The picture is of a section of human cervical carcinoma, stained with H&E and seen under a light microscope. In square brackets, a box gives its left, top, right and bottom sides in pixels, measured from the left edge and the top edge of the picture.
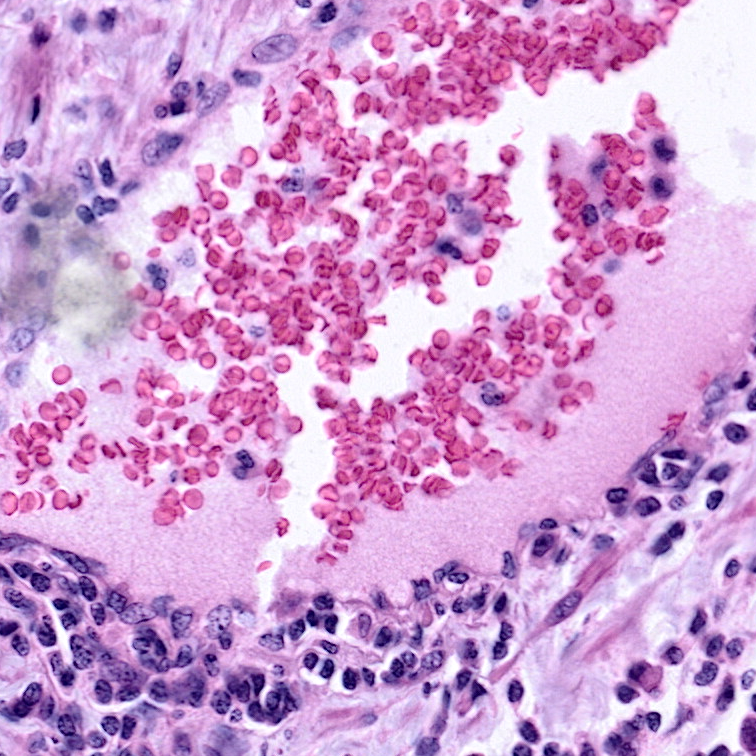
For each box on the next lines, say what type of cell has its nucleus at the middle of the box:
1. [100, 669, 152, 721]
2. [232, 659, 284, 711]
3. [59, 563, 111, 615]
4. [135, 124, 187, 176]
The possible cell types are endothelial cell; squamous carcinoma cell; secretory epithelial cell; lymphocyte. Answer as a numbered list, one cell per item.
1. lymphocyte
2. lymphocyte
3. lymphocyte
4. endothelial cell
